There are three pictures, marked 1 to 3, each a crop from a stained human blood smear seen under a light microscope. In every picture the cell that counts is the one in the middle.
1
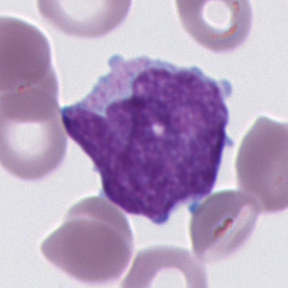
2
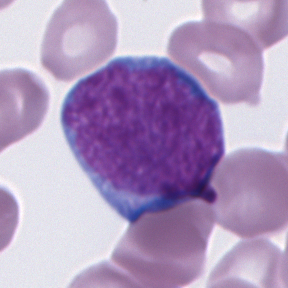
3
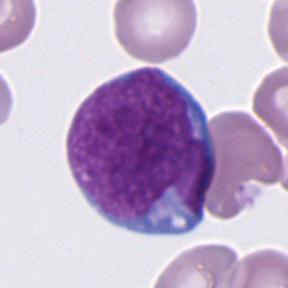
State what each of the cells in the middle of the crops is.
1: atypical promyelocyte
2: myeloblast
3: myeloblast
